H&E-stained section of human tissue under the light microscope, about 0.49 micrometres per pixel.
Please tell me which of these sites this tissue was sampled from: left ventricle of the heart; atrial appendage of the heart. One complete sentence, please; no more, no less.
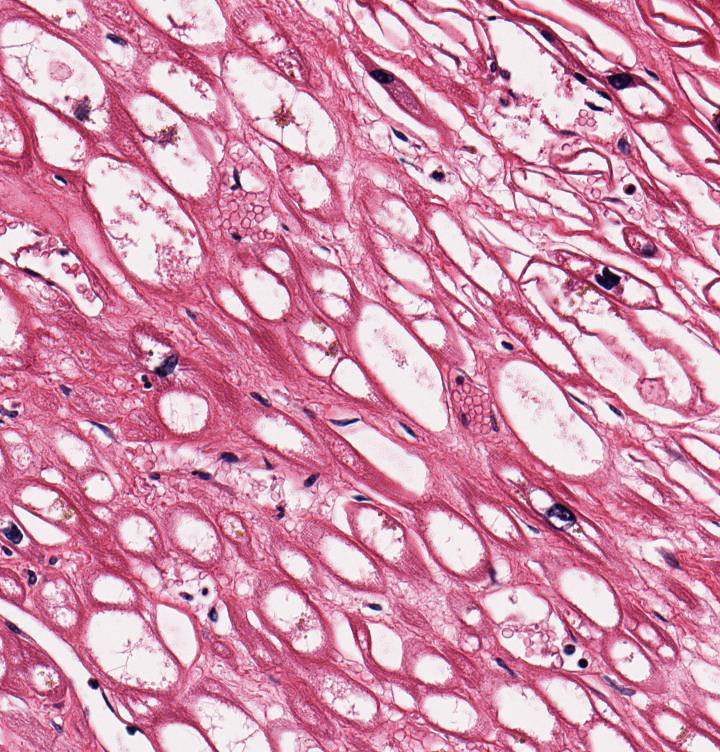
Sampling of this tissue was done from the left ventricle of the heart.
